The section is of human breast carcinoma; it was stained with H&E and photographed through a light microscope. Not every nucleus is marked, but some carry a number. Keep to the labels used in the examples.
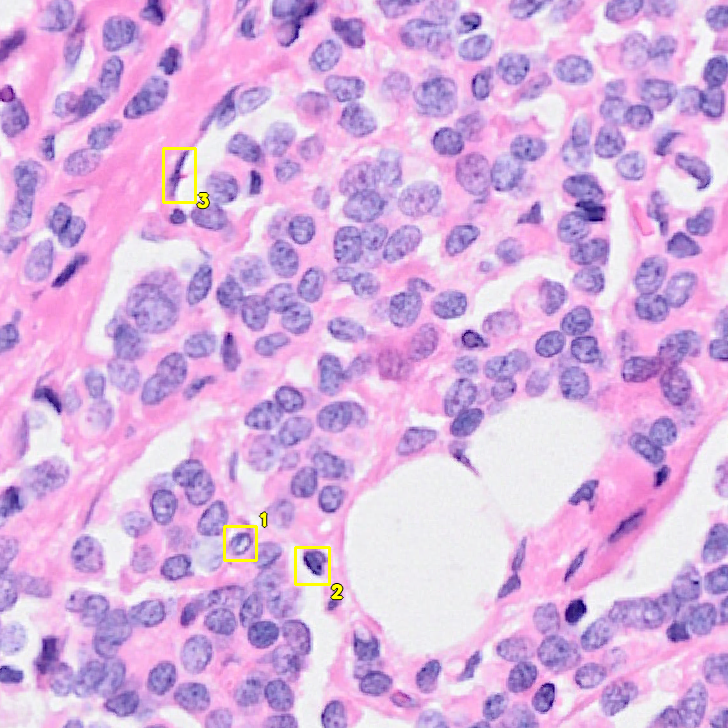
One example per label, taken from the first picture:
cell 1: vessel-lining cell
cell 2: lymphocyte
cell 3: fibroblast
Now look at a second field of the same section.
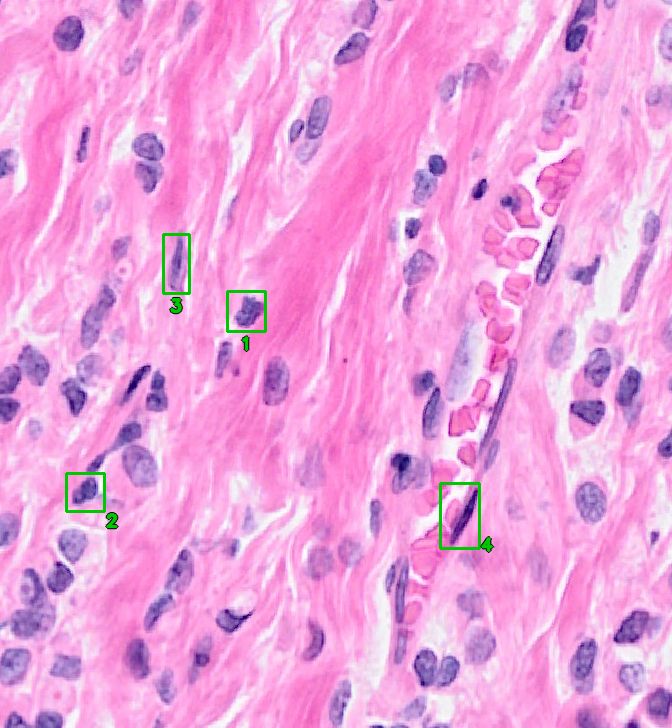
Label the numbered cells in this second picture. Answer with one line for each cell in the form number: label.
1: lymphocyte
2: lymphocyte
3: fibroblast
4: vessel-lining cell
